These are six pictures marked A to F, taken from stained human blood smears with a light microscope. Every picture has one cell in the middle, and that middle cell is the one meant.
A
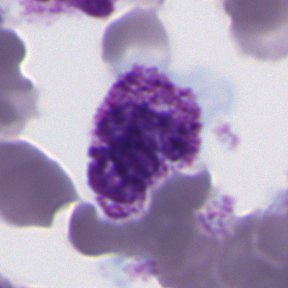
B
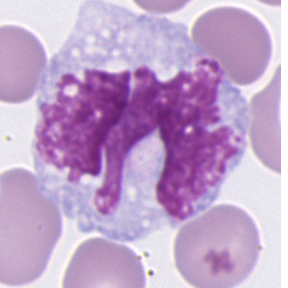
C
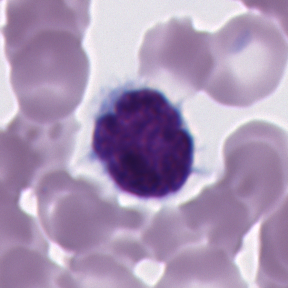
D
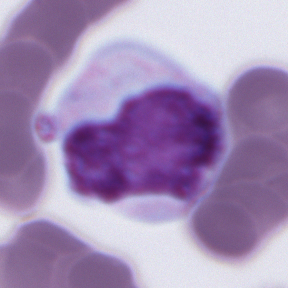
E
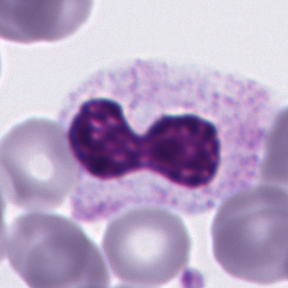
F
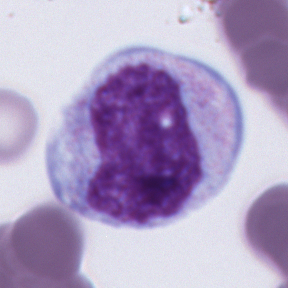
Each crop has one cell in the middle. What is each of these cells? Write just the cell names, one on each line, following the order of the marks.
basophil
monocyte
hairy cell
metamyelocyte
band neutrophil
metamyelocyte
